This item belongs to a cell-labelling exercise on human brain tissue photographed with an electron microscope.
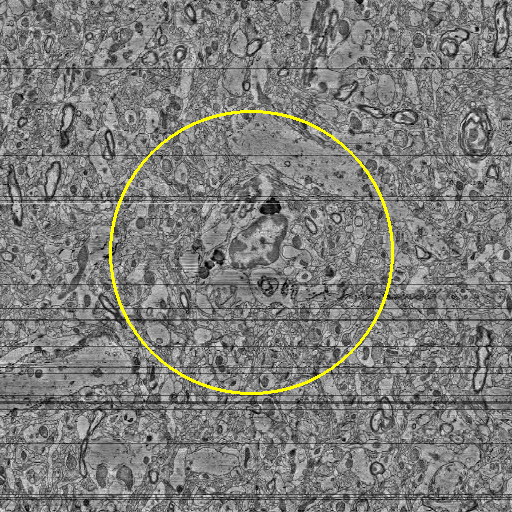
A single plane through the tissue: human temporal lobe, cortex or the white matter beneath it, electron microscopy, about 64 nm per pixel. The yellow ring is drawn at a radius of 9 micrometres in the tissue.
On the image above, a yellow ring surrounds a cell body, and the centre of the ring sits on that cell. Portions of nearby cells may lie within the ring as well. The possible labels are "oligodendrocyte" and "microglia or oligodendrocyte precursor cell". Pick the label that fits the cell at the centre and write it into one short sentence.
This cell should be labelled as a microglial cell or oligodendrocyte precursor cell.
